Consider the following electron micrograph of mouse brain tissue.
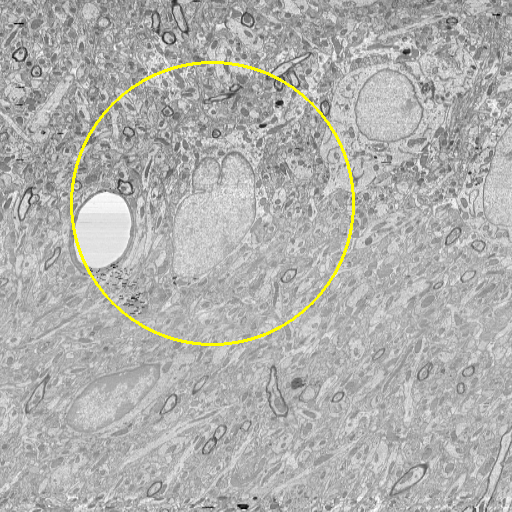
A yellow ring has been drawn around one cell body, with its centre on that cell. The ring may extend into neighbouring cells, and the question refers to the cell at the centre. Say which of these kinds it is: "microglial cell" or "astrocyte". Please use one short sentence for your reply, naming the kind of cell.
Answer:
The centre of the ring falls on an astrocyte.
